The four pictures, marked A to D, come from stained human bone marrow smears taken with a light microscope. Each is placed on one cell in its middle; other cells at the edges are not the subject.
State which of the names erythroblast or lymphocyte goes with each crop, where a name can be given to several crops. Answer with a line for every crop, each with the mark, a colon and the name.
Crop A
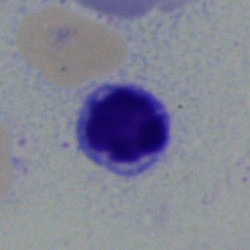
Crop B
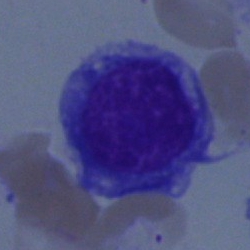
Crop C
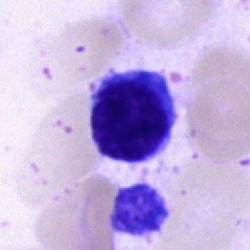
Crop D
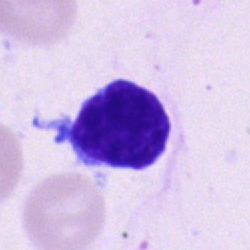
A: lymphocyte
B: erythroblast
C: lymphocyte
D: lymphocyte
